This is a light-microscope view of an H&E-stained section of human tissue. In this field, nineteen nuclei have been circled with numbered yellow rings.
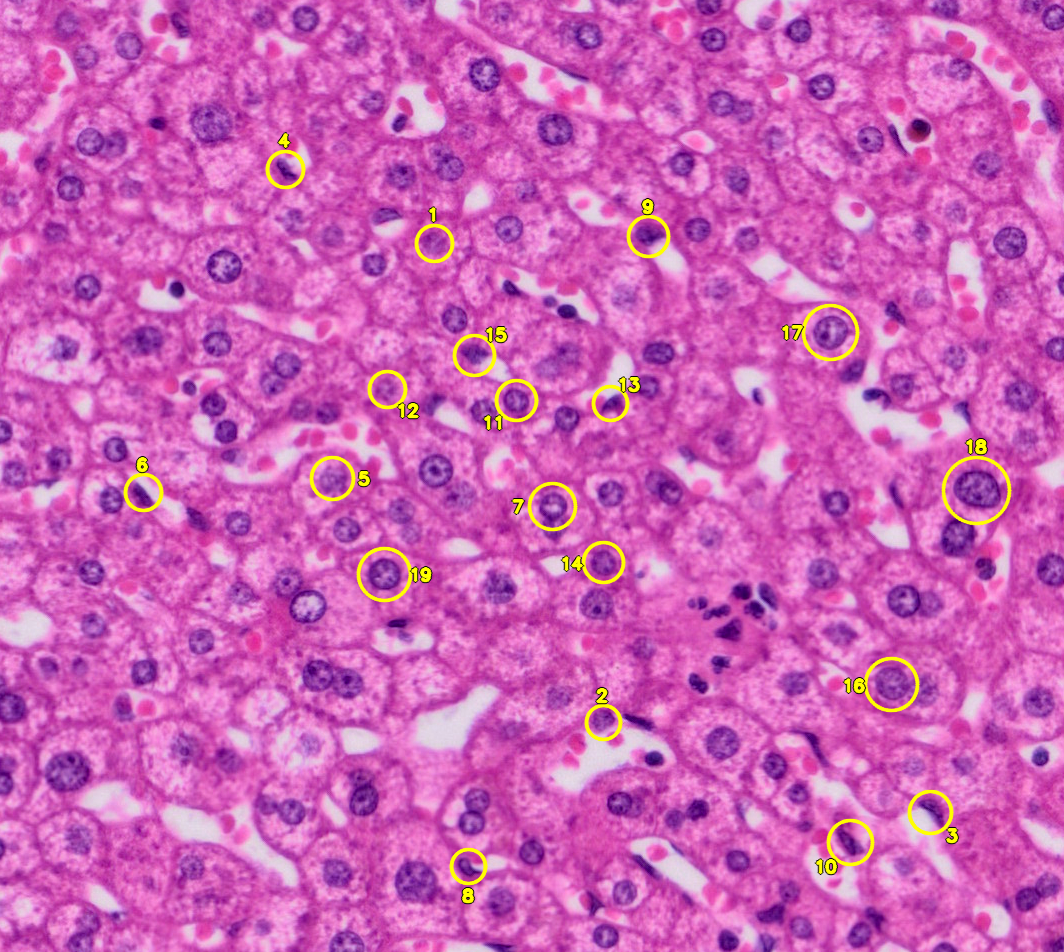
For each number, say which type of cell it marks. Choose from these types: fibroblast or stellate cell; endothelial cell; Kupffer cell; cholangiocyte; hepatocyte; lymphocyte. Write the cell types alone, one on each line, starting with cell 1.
hepatocyte
Kupffer cell
endothelial cell
endothelial cell
hepatocyte
Kupffer cell
hepatocyte
endothelial cell
endothelial cell
Kupffer cell
hepatocyte
hepatocyte
endothelial cell
hepatocyte
endothelial cell
hepatocyte
hepatocyte
hepatocyte
hepatocyte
